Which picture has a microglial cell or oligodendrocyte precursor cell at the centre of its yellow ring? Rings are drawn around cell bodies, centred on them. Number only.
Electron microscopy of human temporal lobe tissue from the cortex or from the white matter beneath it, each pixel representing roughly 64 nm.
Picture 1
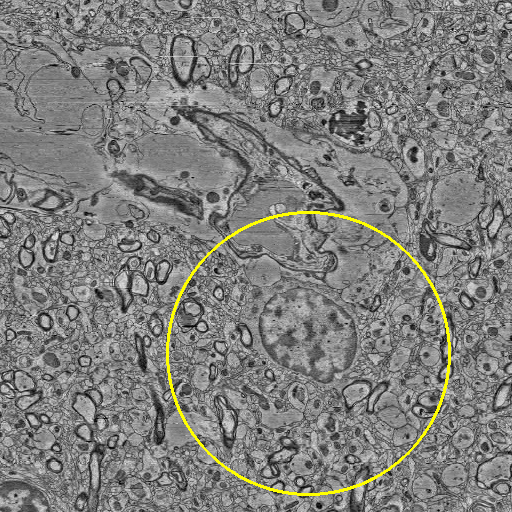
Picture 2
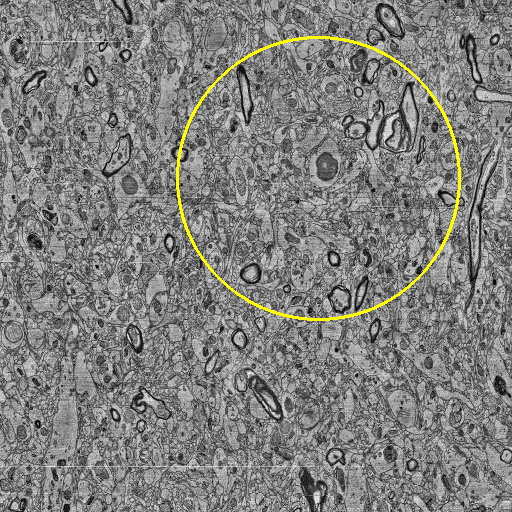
2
